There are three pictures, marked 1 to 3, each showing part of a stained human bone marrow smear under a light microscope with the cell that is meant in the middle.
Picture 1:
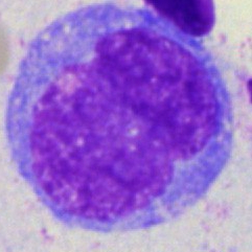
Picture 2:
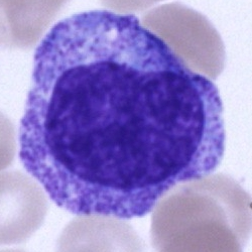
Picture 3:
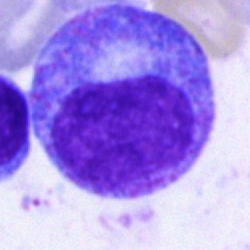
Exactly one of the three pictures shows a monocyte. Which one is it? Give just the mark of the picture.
1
